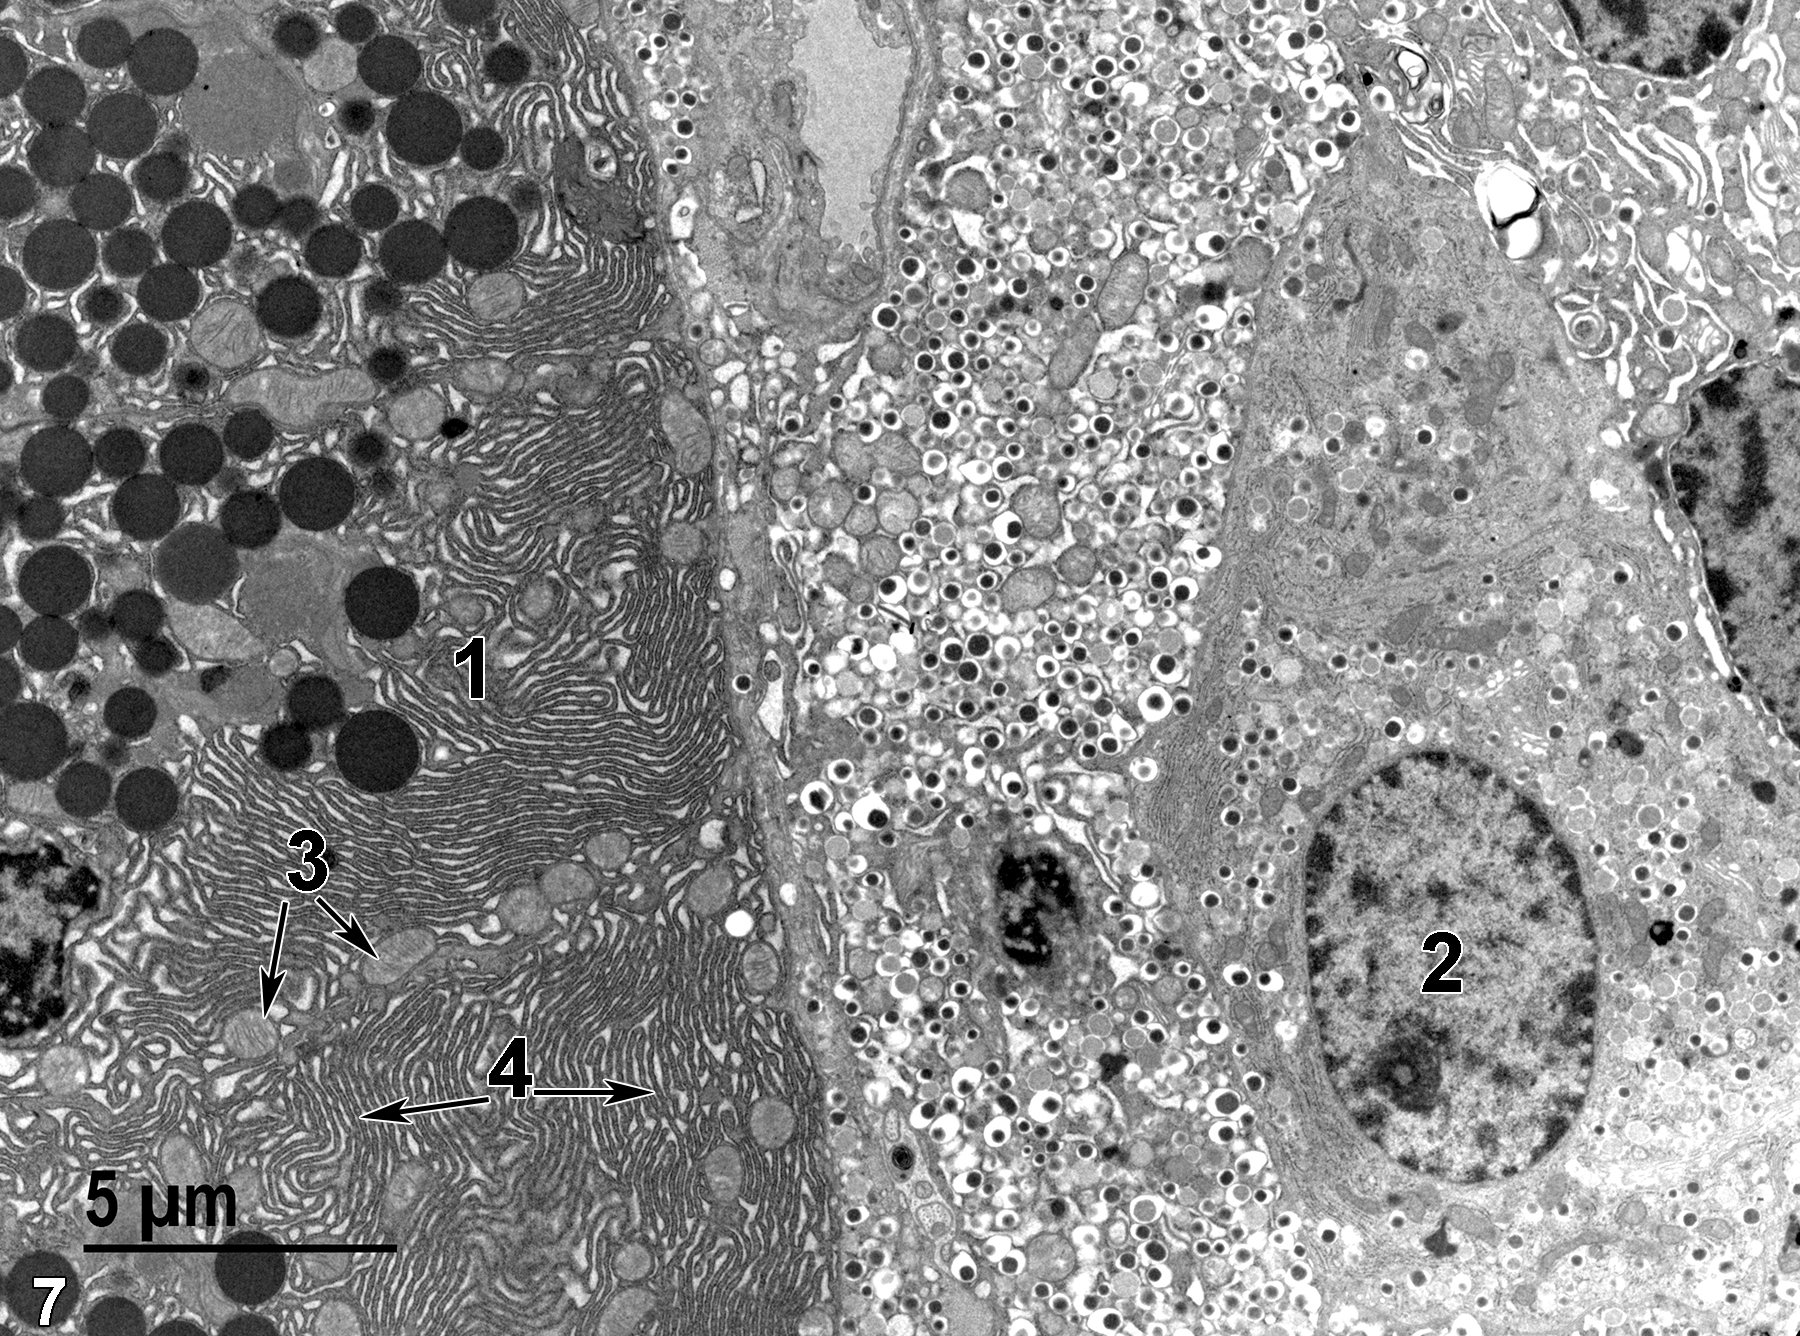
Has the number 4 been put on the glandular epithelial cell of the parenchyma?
No, 4 marks the rough endoplasmic reticulum.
